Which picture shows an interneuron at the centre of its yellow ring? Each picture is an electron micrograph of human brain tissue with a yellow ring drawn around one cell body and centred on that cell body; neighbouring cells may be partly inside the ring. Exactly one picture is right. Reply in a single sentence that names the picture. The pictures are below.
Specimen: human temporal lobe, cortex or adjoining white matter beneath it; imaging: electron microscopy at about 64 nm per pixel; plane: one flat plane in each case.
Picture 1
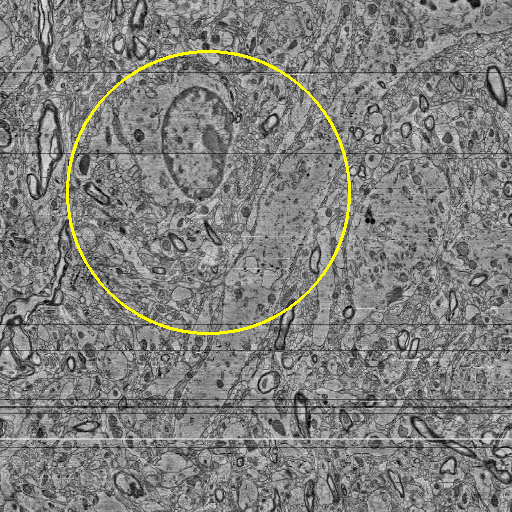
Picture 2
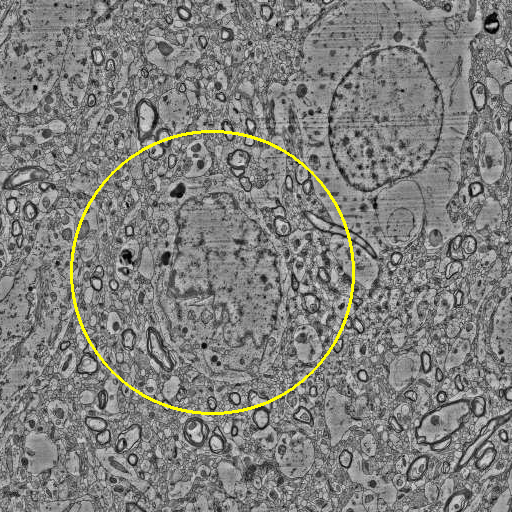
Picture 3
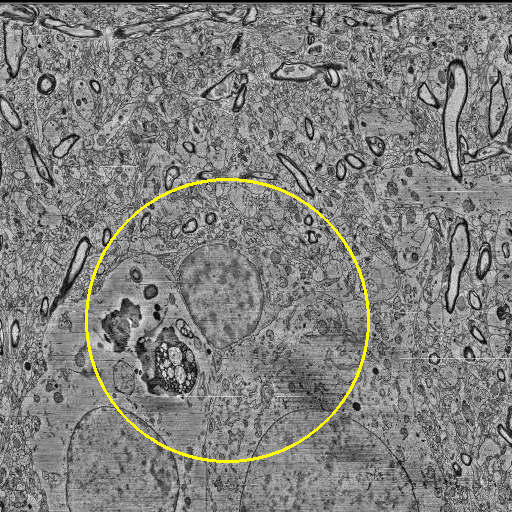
Picture 2 shows it.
